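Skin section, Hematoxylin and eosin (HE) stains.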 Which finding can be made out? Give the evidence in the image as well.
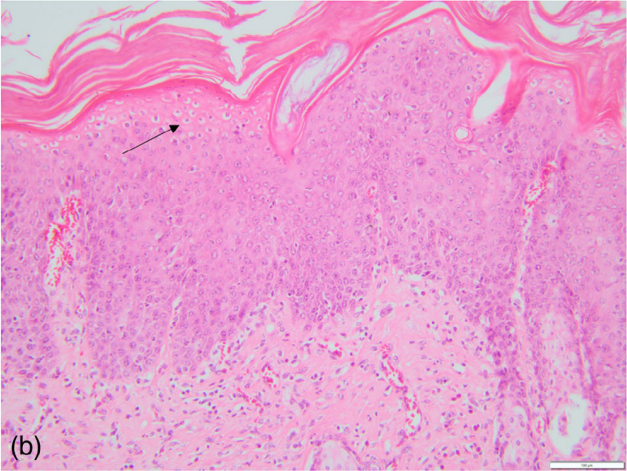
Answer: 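Orthokeratotic hyperkeratosis. A thick, layered pink keratin layer covers the epidermis. The keratin layer shows no retained nuclei.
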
